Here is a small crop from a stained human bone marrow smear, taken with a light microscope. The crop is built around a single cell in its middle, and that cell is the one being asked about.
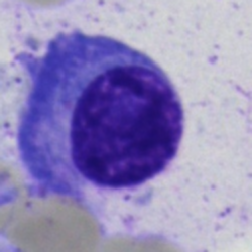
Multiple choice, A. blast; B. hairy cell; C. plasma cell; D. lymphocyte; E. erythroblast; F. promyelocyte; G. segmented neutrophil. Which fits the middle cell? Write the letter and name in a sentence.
Option C is correct, and the cell in the centre is a plasma cell.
